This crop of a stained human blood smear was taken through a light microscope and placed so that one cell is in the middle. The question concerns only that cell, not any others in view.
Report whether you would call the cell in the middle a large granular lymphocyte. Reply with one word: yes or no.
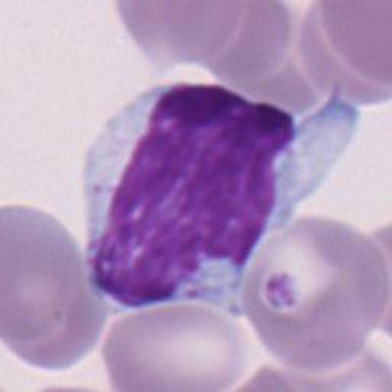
yes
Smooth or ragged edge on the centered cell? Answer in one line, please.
The cell is bounded by a ragged or projection-bearing margin rather than a smooth one.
